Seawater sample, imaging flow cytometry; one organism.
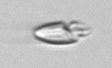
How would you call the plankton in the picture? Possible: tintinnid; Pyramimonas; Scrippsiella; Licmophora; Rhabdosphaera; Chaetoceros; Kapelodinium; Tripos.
I would call it Kapelodinium.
